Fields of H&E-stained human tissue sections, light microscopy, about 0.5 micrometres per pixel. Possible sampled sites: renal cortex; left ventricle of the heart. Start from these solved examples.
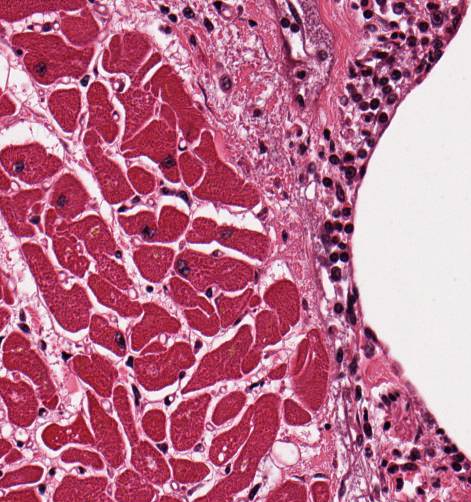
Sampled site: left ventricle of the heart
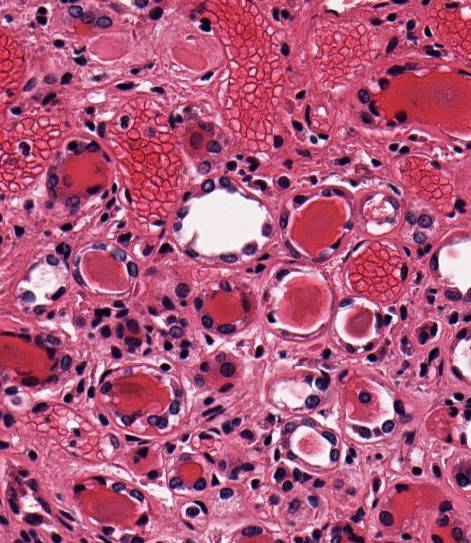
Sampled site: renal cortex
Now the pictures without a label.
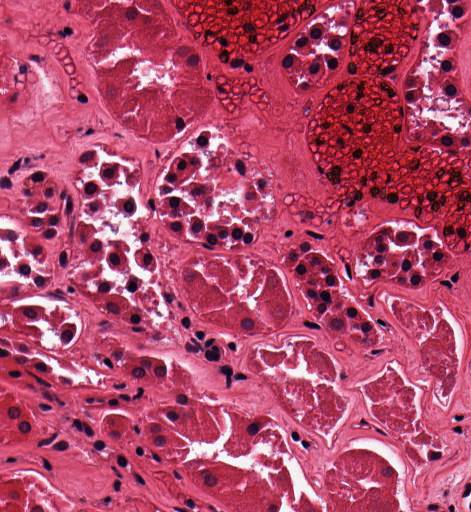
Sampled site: renal cortex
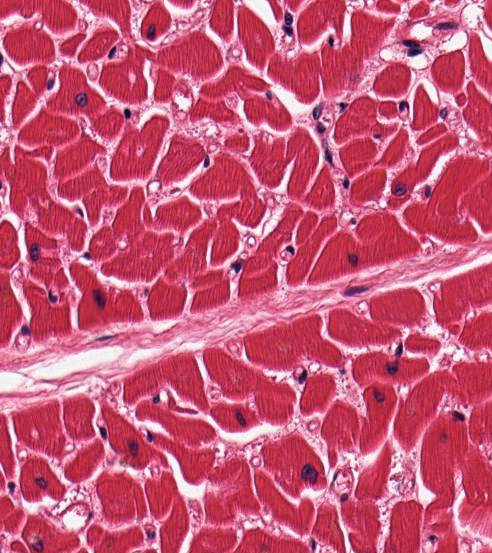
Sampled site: left ventricle of the heart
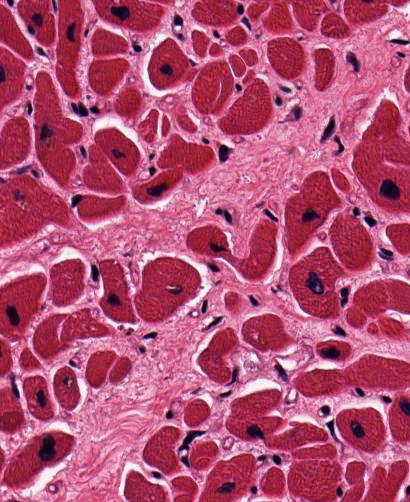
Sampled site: left ventricle of the heart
